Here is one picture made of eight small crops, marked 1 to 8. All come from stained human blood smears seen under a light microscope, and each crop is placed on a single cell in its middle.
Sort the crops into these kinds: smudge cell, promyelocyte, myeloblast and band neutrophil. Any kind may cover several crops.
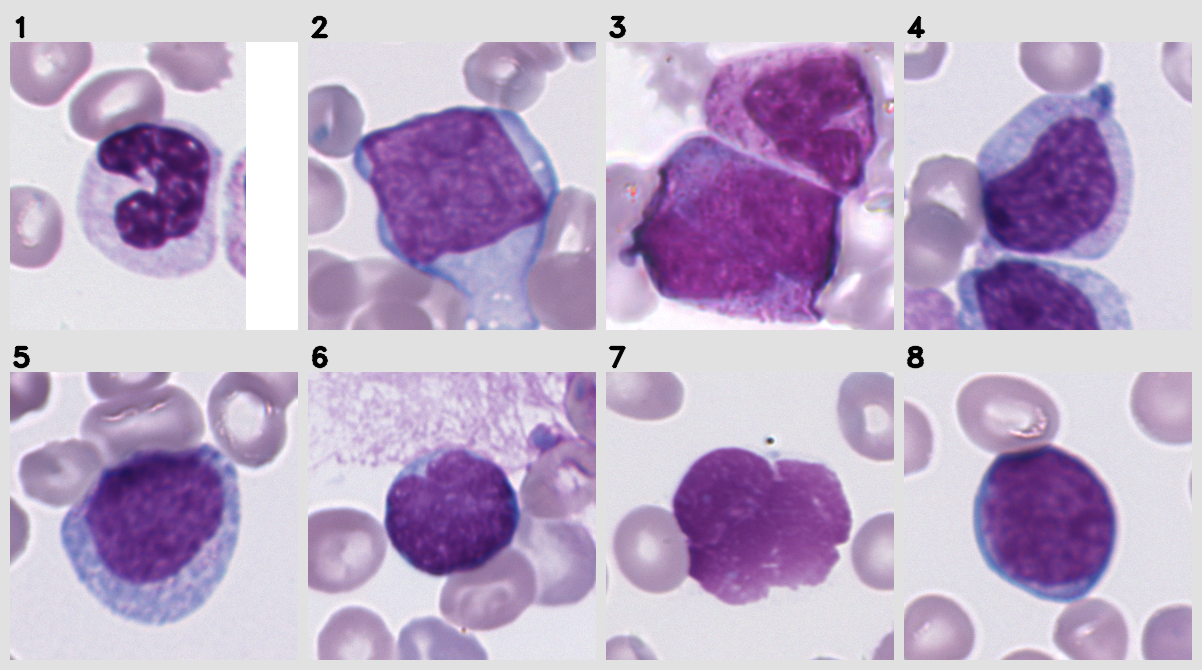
1: band neutrophil
2: myeloblast
3: promyelocyte
4: promyelocyte
5: promyelocyte
6: myeloblast
7: smudge cell
8: myeloblast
